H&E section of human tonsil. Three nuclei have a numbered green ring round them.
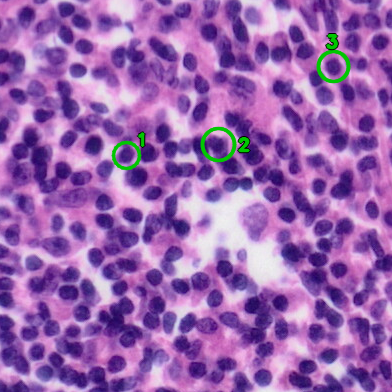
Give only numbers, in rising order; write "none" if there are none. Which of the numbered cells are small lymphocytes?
1, 2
